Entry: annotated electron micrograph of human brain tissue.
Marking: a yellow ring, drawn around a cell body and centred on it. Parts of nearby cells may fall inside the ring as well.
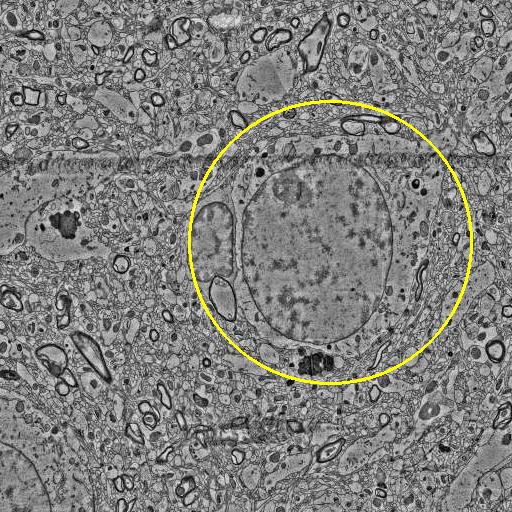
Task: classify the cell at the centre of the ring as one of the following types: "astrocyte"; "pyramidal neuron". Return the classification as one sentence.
The marked cell is classified as a pyramidal neuron.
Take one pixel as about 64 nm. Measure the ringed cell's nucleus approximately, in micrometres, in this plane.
About 12 by 10 micrometers, in this plane.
